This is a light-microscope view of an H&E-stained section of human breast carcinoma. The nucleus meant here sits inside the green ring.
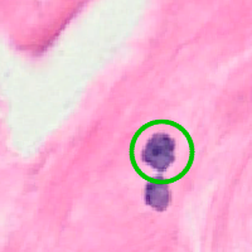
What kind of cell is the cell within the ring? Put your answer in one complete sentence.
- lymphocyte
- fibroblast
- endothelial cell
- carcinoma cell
In the context of this tissue, the cell within the ring is a lymphocyte.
